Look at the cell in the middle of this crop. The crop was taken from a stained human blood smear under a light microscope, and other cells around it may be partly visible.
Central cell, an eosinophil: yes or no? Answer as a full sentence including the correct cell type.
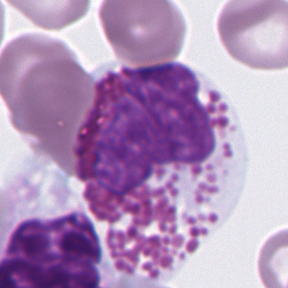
Yes, the cell that lies centrally is an eosinophil.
